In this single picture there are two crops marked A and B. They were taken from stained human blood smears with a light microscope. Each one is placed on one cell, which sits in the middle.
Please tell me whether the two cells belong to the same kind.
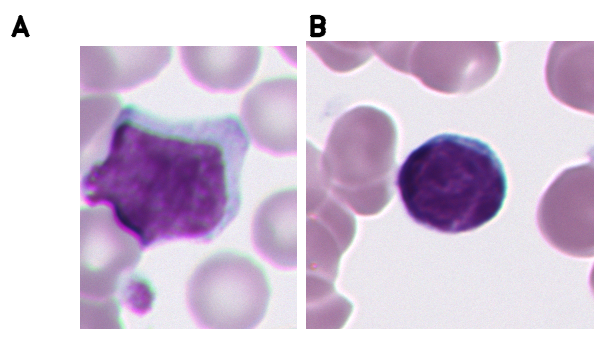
yes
